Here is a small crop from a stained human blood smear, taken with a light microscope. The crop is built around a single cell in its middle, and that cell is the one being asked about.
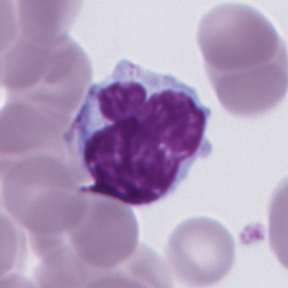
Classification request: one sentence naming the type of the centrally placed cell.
Within this crop, a large granular lymphocyte occupies the central position.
